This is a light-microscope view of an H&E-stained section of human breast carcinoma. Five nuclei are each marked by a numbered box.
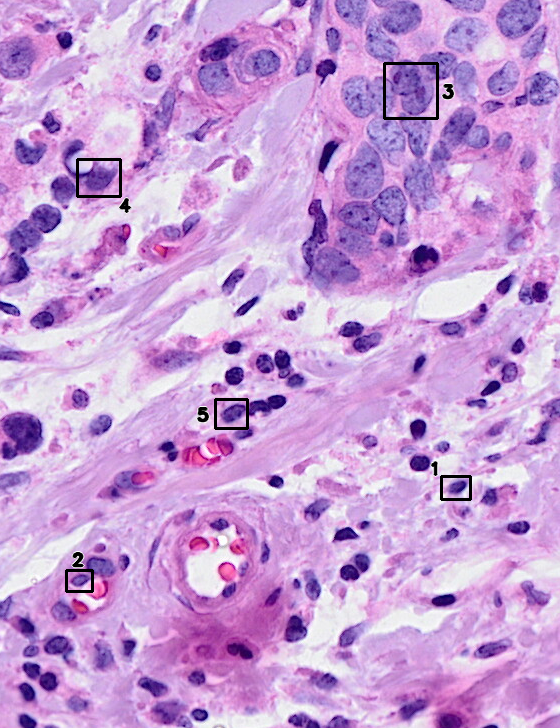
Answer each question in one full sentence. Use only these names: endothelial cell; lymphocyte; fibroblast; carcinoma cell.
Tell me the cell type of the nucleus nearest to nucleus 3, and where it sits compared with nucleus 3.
Lying to the left of nucleus 3, the nearest nucleus is that of a carcinoma cell.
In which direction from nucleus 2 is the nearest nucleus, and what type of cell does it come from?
The nearest nucleus is that of an endothelial cell and lies above and to the right of nucleus 2.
